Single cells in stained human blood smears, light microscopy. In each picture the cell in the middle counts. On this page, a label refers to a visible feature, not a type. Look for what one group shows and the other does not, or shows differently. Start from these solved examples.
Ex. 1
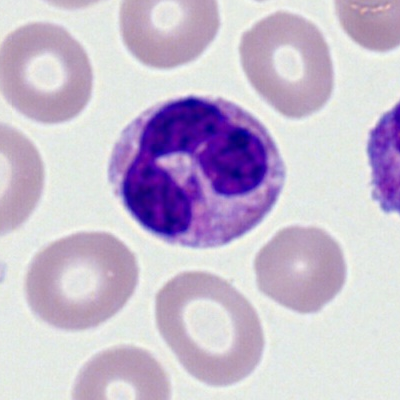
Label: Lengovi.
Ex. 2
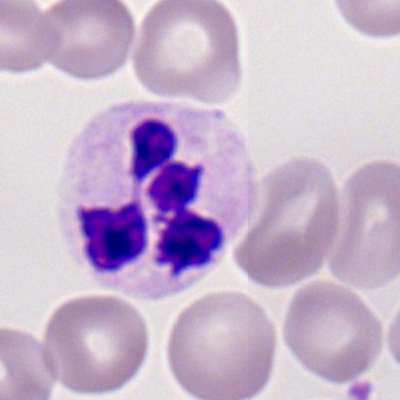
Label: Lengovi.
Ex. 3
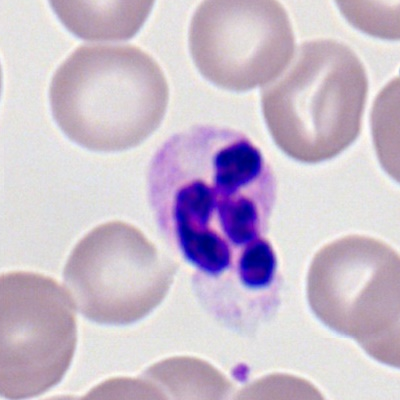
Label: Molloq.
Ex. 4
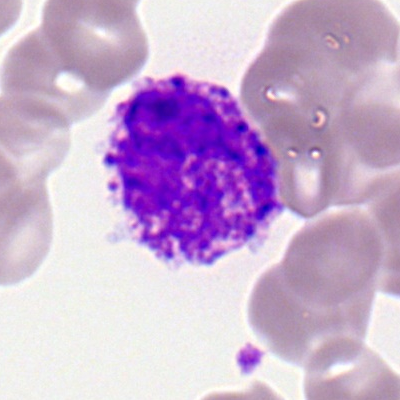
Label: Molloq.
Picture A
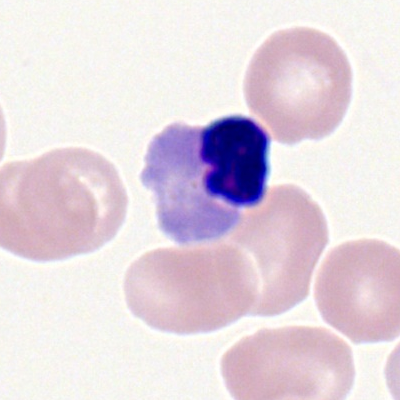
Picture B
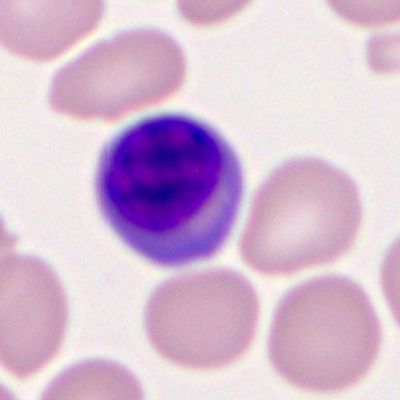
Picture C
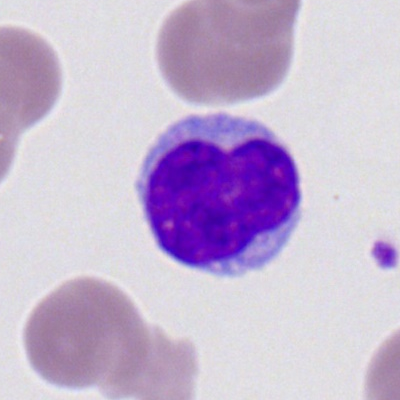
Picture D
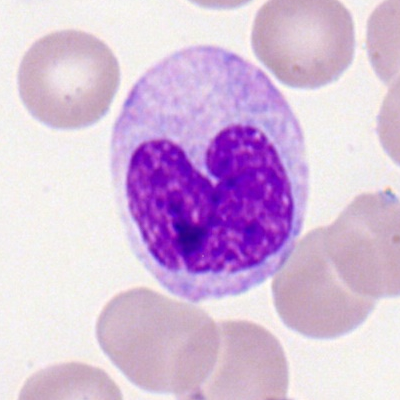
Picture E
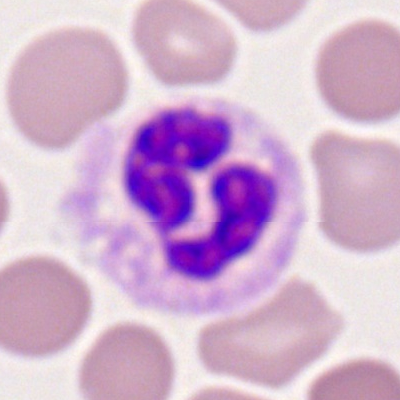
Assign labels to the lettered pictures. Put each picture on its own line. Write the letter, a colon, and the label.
A: Molloq.
B: Lengovi.
C: Lengovi.
D: Lengovi.
E: Molloq.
